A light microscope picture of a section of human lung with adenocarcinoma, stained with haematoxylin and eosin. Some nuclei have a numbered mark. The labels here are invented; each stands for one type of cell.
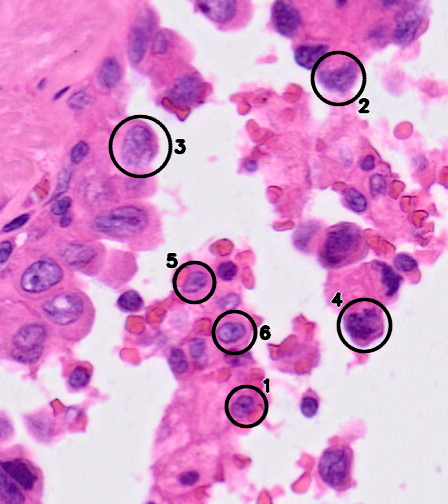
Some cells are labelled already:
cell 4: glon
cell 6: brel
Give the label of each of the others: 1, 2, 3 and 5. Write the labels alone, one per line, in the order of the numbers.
brel
glon
glon
brel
